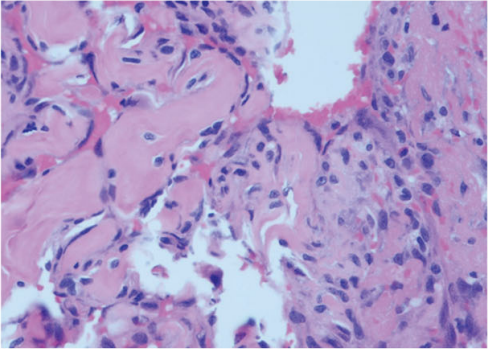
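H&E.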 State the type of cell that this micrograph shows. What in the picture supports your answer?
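A single layer of flattened to plump cells with dark oval nuclei covers the surfaces of the pink cores. The lining cells face open, empty spaces.
Hence: endothelial cells.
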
